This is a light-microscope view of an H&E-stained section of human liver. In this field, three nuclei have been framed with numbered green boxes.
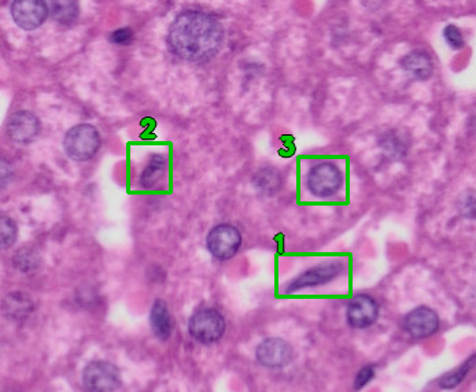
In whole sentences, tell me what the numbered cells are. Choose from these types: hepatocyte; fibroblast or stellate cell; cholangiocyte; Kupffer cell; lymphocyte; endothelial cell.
Cell 1 is a Kupffer cell, cell 2 is a Kupffer cell and cell 3 is a hepatocyte.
